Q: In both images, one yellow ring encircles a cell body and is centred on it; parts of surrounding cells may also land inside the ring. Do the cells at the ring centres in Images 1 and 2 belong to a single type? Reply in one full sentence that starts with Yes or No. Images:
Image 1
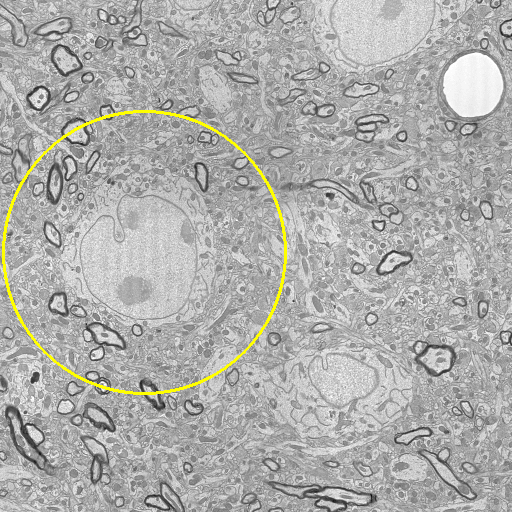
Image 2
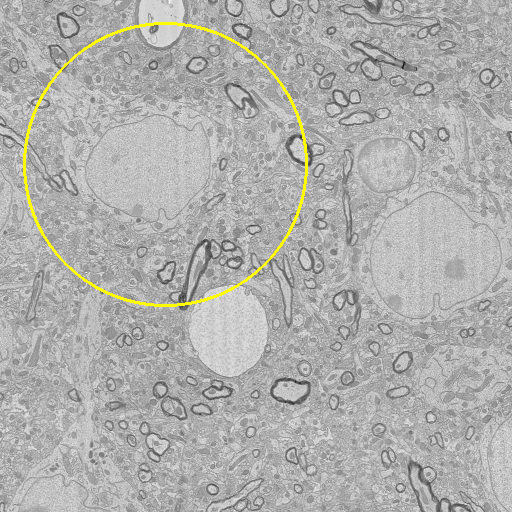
Yes, the cells at the ring centres in Images 1 and 2 are of a single type.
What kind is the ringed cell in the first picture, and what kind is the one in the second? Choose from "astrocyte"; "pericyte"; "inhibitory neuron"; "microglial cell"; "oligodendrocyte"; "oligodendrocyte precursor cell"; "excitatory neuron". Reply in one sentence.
Each cell, in the first picture and the second, is an excitatory neuron.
